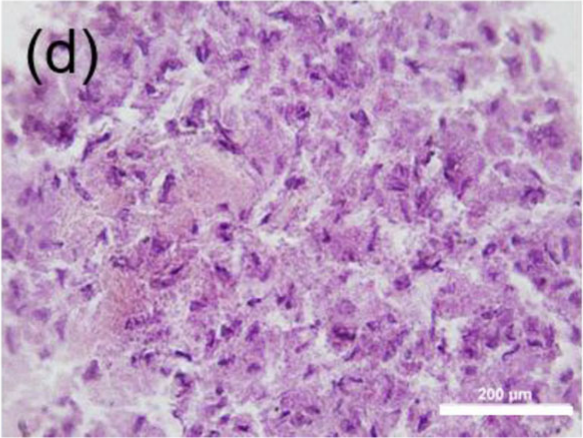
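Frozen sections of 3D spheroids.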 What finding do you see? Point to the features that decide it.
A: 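Many dark purple nuclei are crowded across the field. The nuclei point in all directions with no common alignment. Little space lies between neighbouring cells.
Answer: compact, nondirectional aggregation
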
